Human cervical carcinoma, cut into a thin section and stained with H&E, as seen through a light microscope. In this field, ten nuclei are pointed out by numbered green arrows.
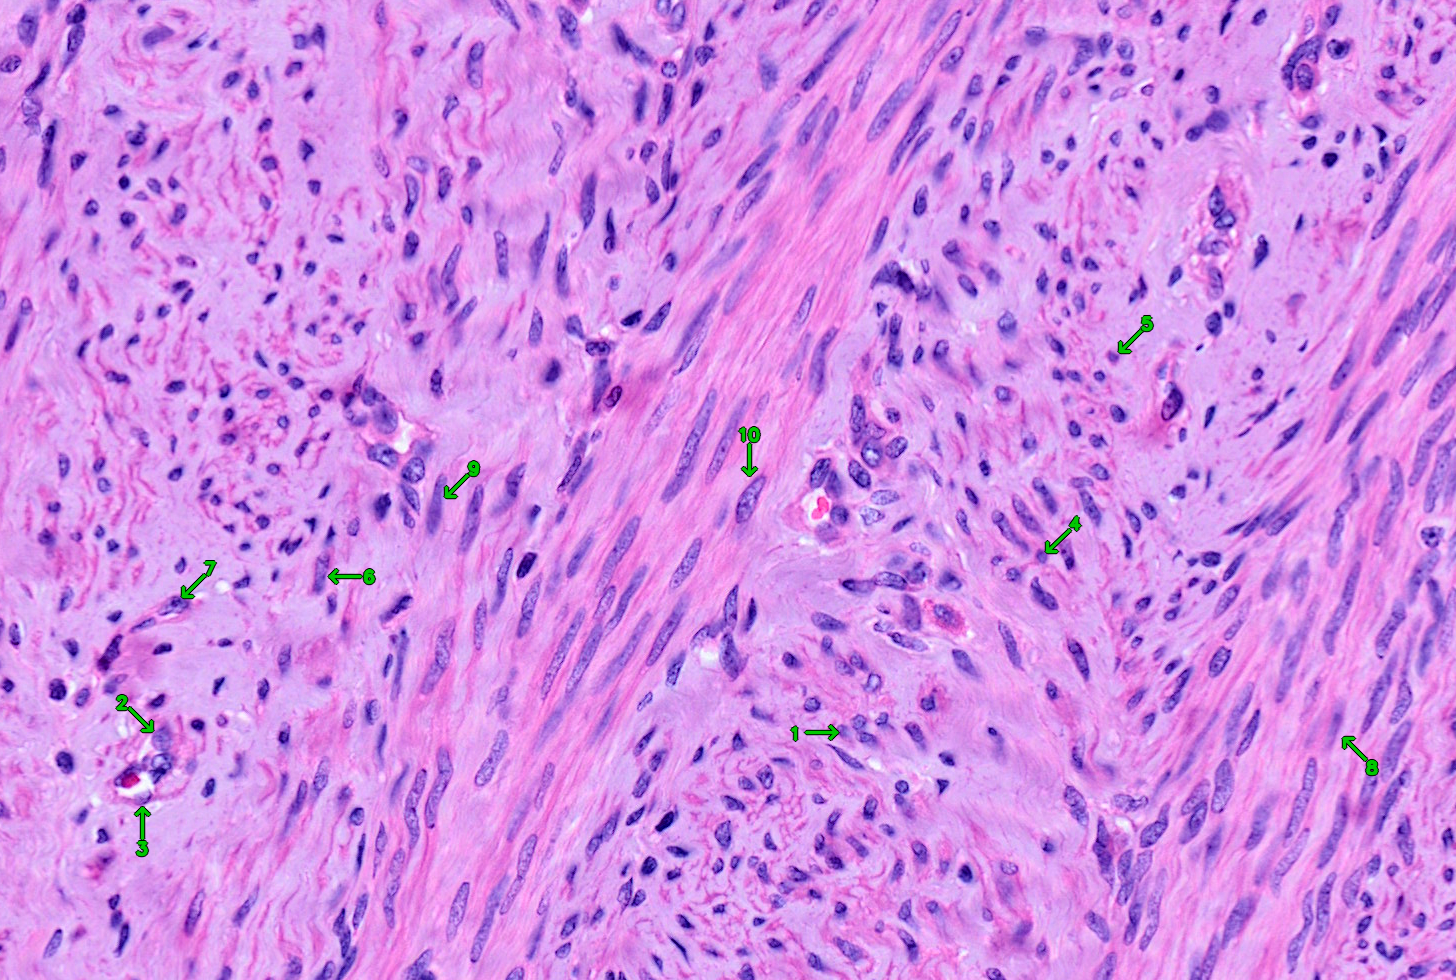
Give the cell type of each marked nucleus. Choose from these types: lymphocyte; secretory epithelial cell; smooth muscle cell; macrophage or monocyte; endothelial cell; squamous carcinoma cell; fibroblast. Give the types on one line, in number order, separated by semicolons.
smooth muscle cell; endothelial cell; endothelial cell; smooth muscle cell; smooth muscle cell; smooth muscle cell; endothelial cell; smooth muscle cell; fibroblast; smooth muscle cell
